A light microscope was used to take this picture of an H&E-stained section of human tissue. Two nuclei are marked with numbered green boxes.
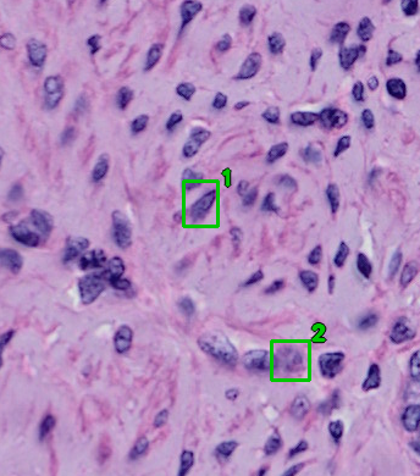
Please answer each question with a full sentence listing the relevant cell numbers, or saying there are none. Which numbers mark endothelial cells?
None but cell 2 among the numbered cells is an endothelial cell.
